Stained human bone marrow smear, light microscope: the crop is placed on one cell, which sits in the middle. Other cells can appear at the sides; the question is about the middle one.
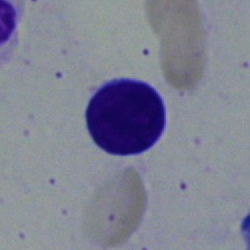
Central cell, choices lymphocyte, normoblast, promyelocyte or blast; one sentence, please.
In the central position of this crop, the cell is a lymphocyte.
